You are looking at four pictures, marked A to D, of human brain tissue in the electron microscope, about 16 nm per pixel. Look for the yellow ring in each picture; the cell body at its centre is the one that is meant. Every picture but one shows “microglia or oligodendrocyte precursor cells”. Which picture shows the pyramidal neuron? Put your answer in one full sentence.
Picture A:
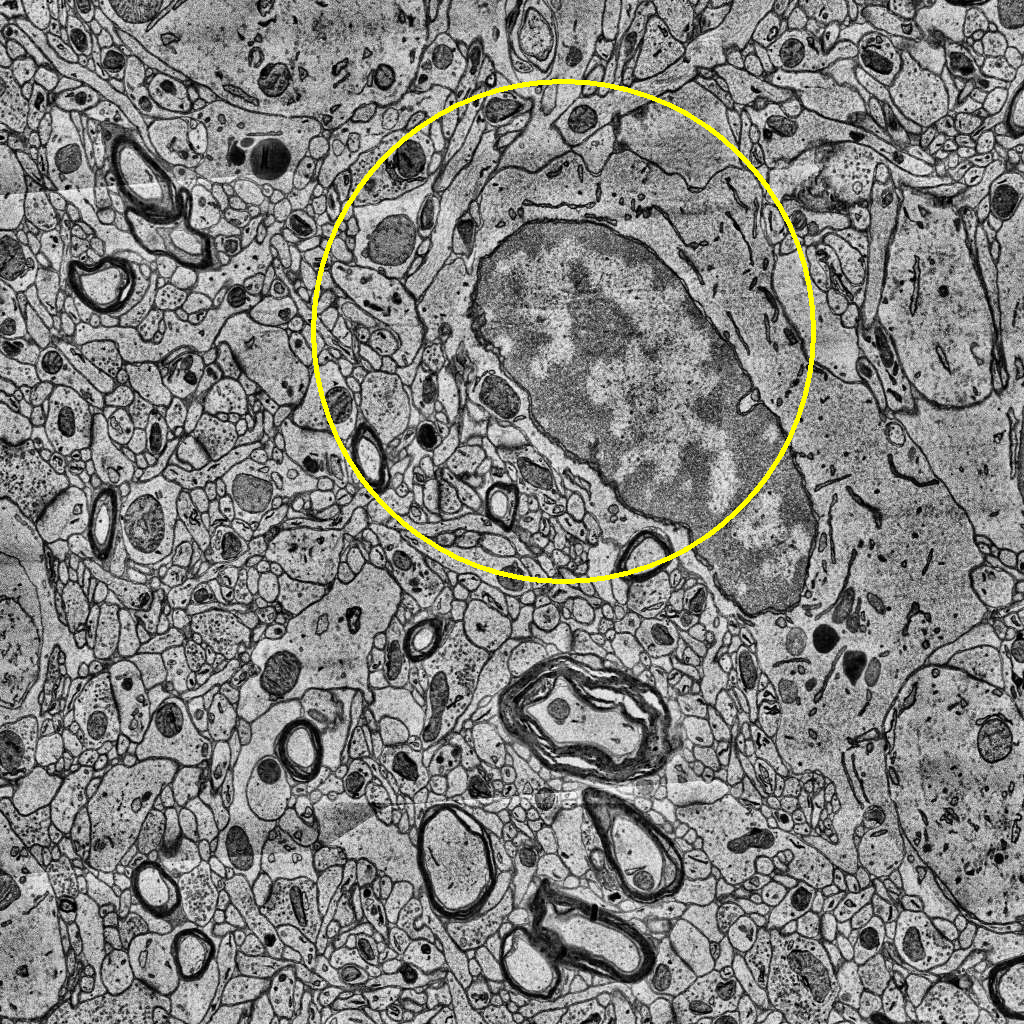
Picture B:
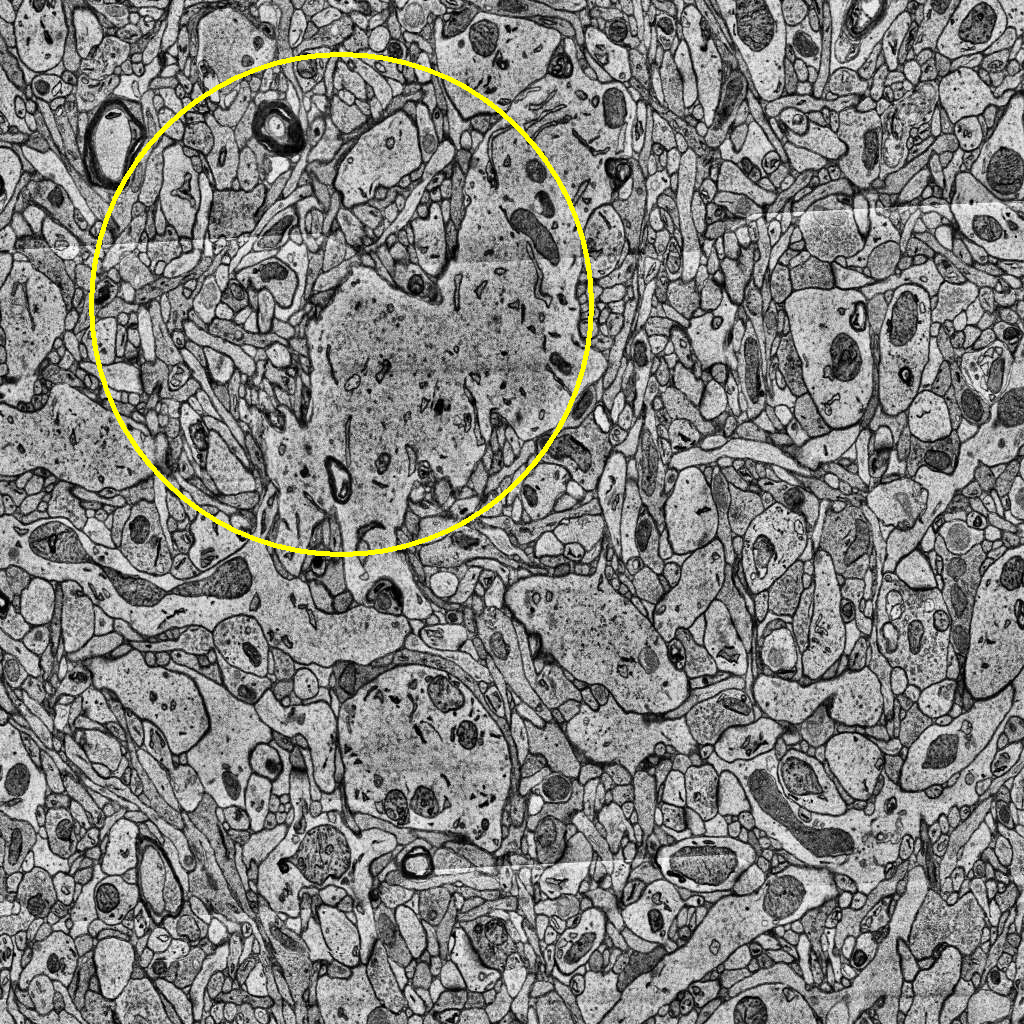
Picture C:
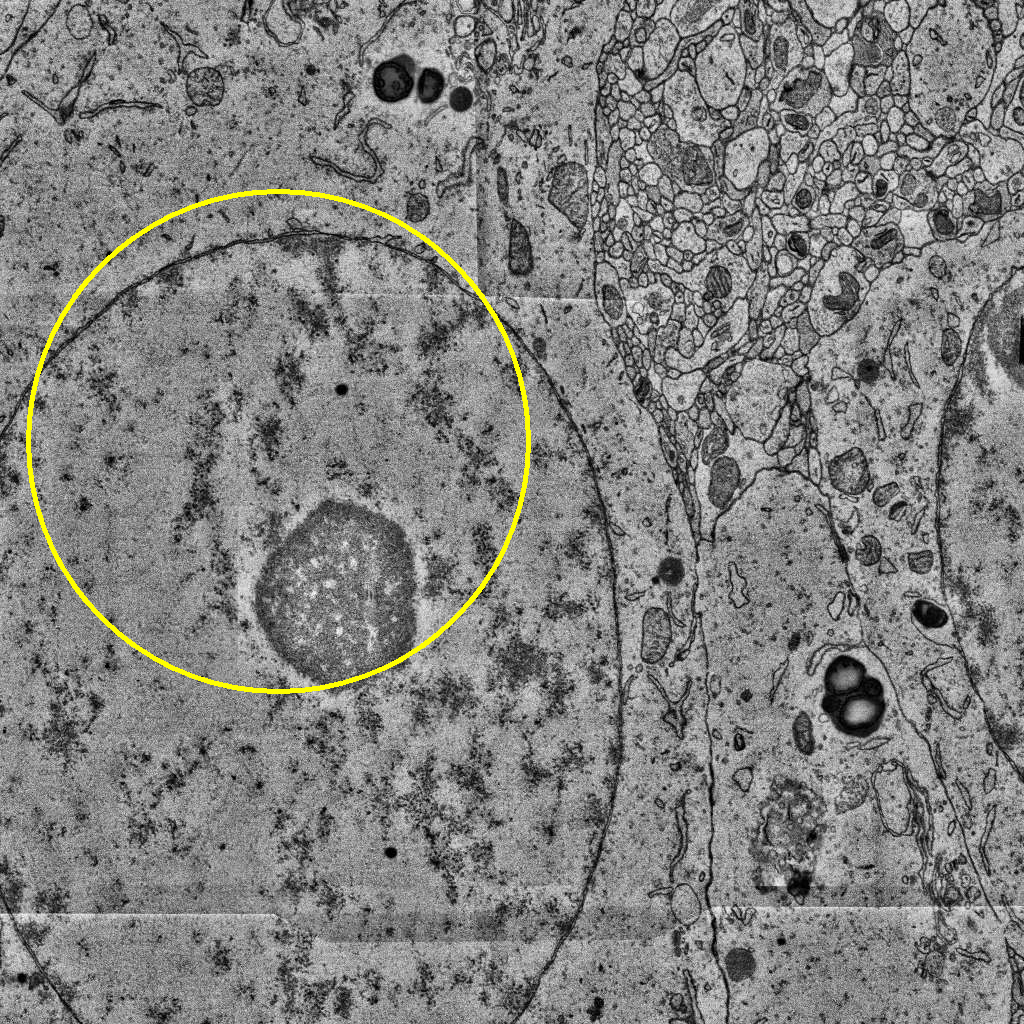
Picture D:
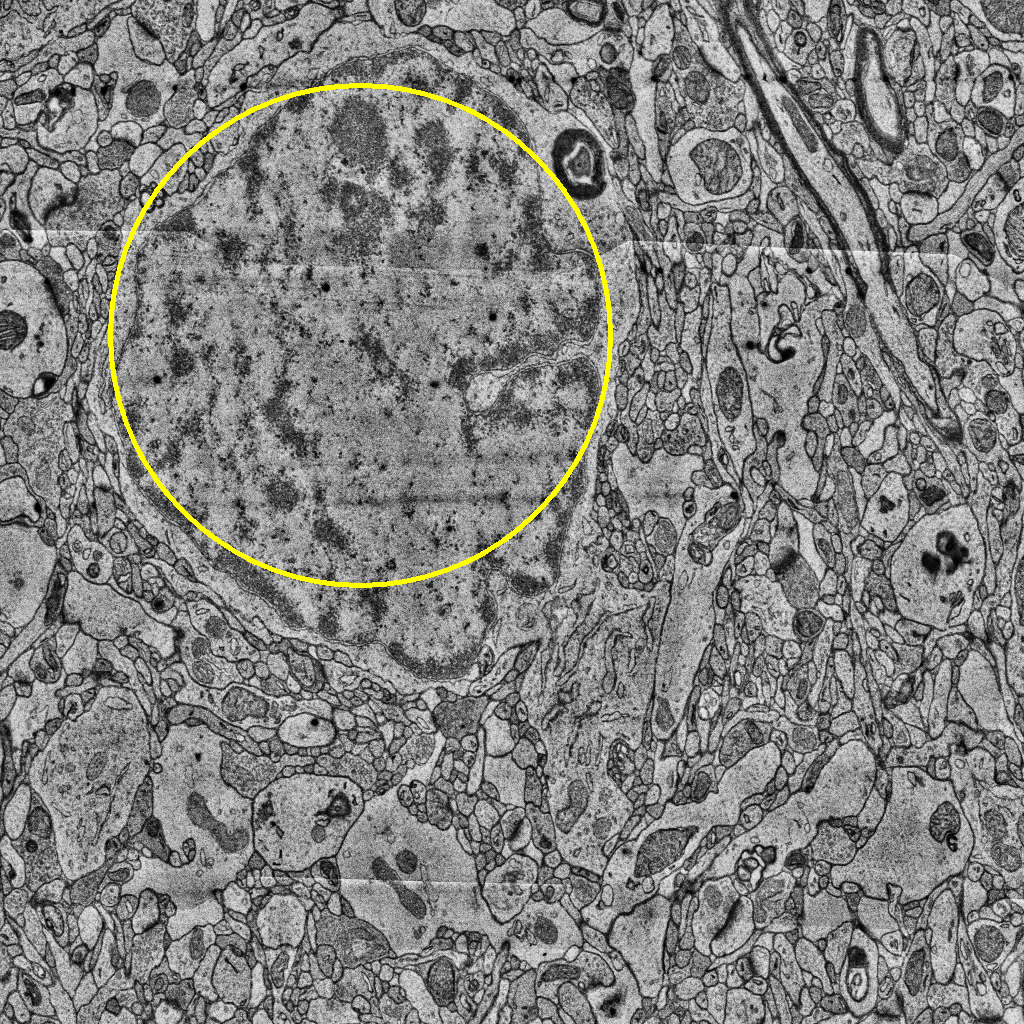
Picture C shows the pyramidal neuron.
